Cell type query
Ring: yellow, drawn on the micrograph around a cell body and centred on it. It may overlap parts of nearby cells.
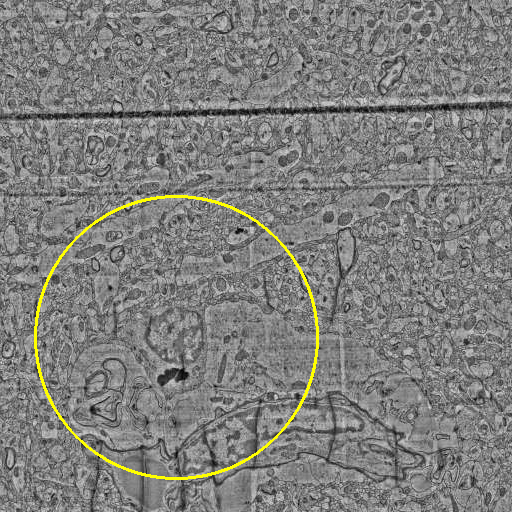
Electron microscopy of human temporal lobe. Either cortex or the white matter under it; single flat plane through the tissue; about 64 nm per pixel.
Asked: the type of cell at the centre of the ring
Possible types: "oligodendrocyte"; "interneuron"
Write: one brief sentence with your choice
The ring marks an oligodendrocyte.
